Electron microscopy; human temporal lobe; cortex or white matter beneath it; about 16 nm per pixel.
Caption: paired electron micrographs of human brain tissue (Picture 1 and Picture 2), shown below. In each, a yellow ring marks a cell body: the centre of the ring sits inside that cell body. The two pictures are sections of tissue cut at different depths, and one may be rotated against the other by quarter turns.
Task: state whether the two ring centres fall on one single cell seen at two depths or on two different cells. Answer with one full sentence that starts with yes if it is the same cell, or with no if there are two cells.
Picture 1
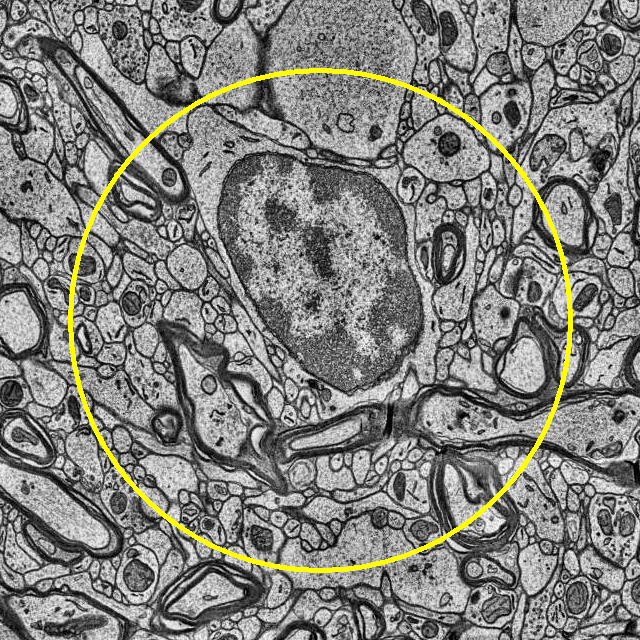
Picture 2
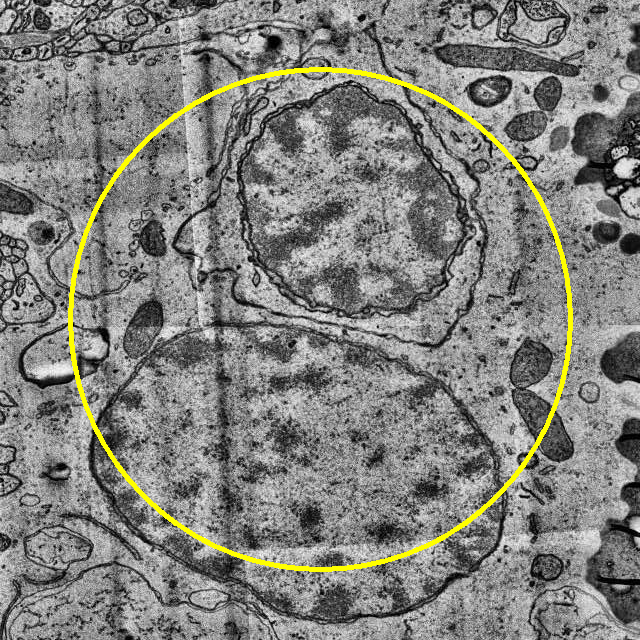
No, the two rings mark two different cells.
